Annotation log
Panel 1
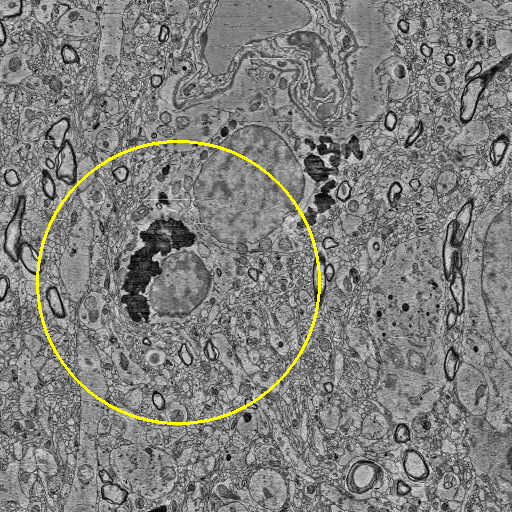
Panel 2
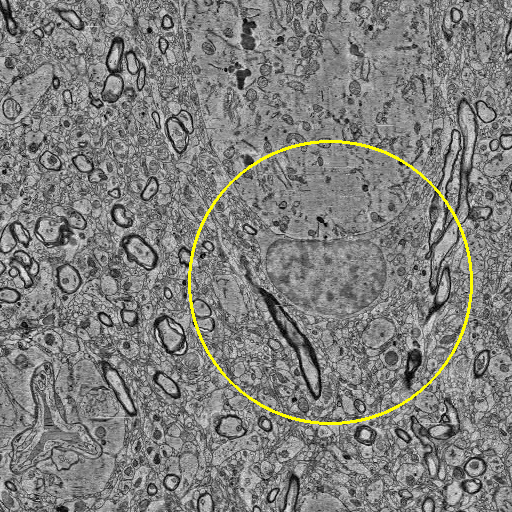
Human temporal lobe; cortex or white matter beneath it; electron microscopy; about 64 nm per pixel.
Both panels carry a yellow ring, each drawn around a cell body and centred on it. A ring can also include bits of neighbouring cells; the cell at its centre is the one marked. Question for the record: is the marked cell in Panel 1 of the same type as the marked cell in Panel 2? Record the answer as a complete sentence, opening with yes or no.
Yes, the marked cells in Panel 1 and Panel 2 are of the same type.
